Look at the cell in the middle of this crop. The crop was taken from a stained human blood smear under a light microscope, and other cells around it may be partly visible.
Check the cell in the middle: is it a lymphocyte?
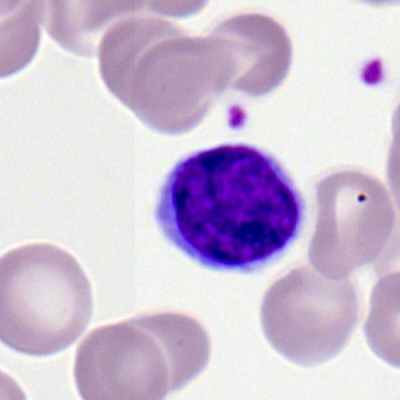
yes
